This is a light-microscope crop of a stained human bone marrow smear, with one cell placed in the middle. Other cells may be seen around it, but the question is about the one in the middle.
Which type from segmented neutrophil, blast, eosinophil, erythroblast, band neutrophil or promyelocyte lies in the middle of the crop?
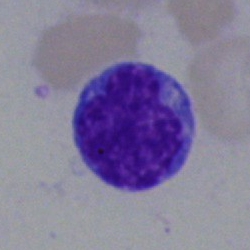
blast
